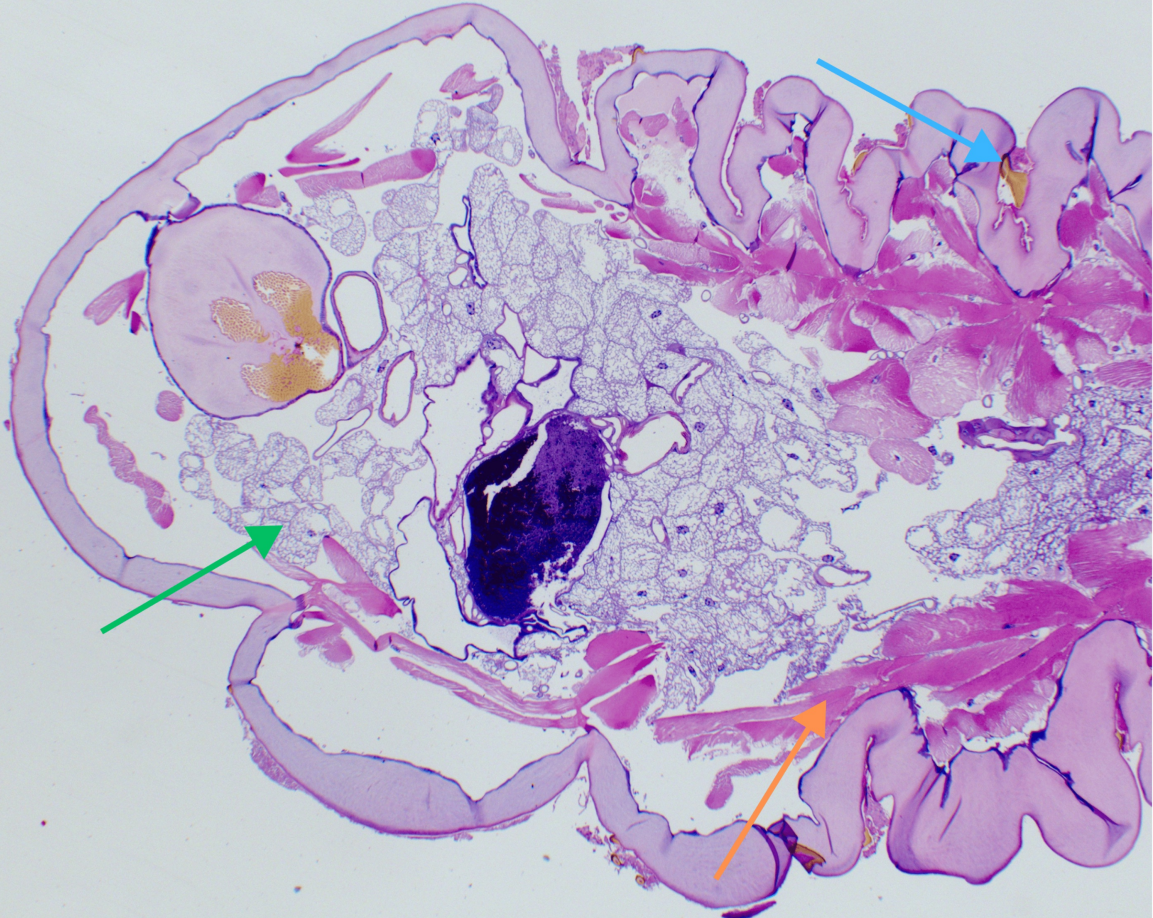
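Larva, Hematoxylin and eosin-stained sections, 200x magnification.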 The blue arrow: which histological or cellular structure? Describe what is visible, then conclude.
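The marked spot lies in a fold of the thick pink outer body wall. It is a golden-brown, pointed structure set within that layer. The answer: cuticular spines.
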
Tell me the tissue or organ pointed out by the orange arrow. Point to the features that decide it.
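Striated musculature. Bundles of elongated, deeply eosin-pink fibres run just beneath the folded body wall. The fibres are arranged in parallel, fan-like groups.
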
